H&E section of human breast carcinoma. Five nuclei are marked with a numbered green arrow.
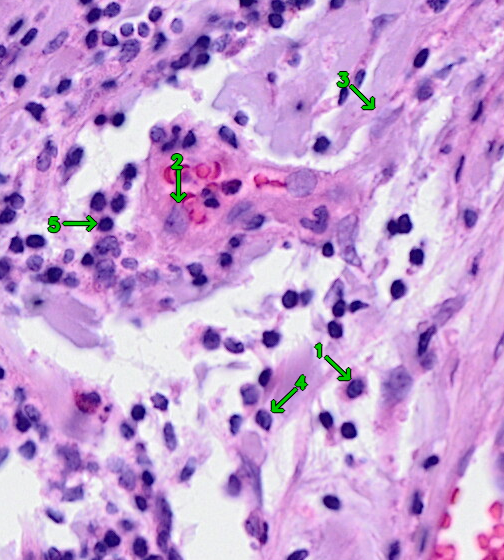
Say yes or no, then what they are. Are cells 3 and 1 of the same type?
No: cell 3 is a fibroblast, while cell 1 is a mast cell.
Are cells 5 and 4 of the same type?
Yes, cells 5 and 4 are, both of them, lymphocytes.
